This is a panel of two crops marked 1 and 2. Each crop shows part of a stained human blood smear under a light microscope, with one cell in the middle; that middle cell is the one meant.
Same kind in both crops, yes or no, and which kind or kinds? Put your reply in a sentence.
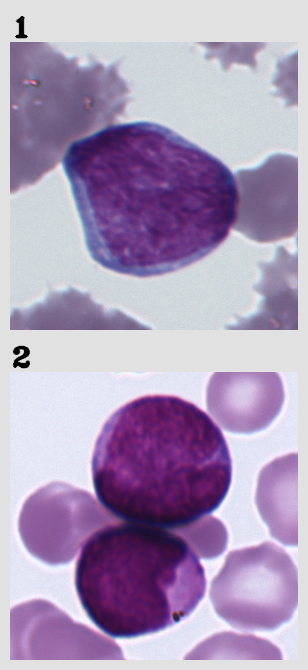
Yes, it is myeloblasts that both crops show.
